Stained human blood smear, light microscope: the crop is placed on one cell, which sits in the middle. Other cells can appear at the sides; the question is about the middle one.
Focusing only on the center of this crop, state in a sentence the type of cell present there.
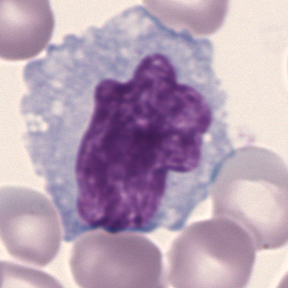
At the crop's centre, the cell is a monocyte.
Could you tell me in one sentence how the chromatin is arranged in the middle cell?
The chromatin is fine, with no coarse clumping anywhere.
